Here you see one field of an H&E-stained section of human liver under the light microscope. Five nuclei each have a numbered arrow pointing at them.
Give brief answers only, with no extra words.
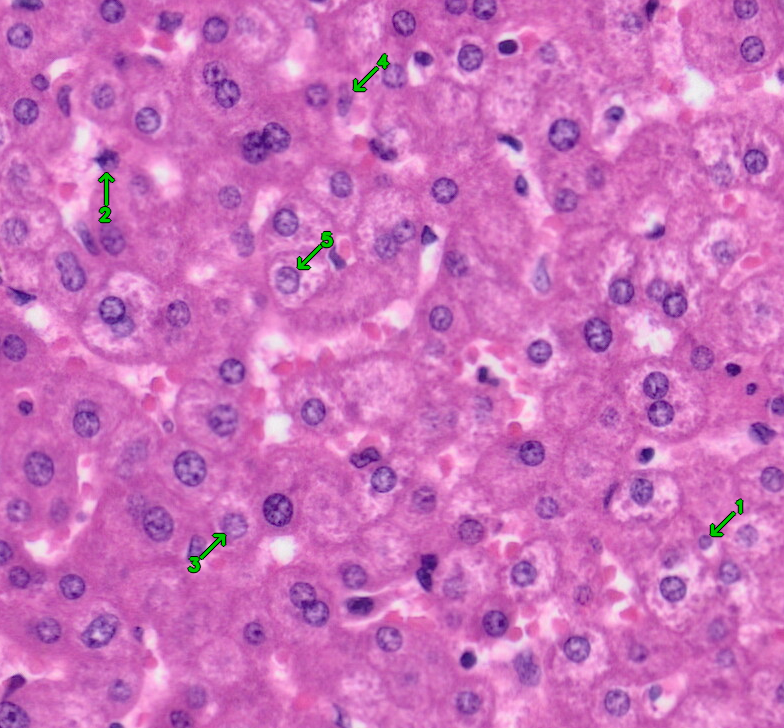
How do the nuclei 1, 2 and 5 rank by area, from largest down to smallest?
5, 2, 1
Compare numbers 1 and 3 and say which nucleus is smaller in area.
1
